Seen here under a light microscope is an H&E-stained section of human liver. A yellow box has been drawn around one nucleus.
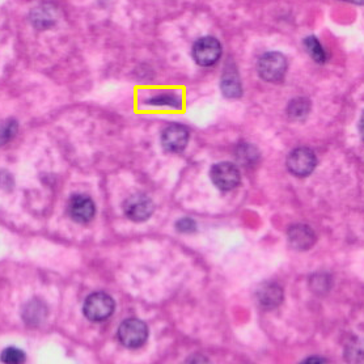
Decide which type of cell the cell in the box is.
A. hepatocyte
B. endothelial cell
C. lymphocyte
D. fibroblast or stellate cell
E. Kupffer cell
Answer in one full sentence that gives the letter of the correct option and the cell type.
Option B correctly identifies the cell in the box as an endothelial cell.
